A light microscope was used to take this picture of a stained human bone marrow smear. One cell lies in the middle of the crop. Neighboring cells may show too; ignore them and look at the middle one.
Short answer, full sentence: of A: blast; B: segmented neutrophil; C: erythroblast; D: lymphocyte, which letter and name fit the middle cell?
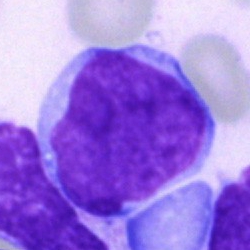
The cell positioned centrally is a blast, as given in option A, which is correct.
